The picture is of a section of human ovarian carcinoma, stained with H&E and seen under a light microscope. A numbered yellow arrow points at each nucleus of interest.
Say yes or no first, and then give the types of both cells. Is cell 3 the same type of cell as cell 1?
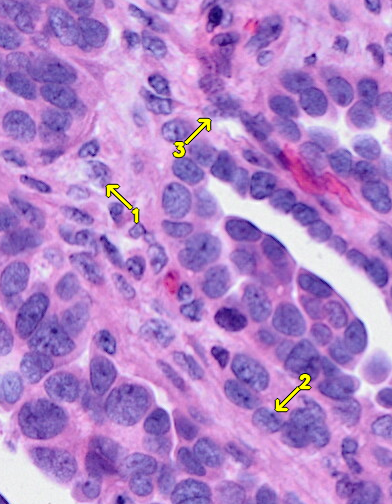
Yes, as for cells 3 and 1, both are fibroblasts.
